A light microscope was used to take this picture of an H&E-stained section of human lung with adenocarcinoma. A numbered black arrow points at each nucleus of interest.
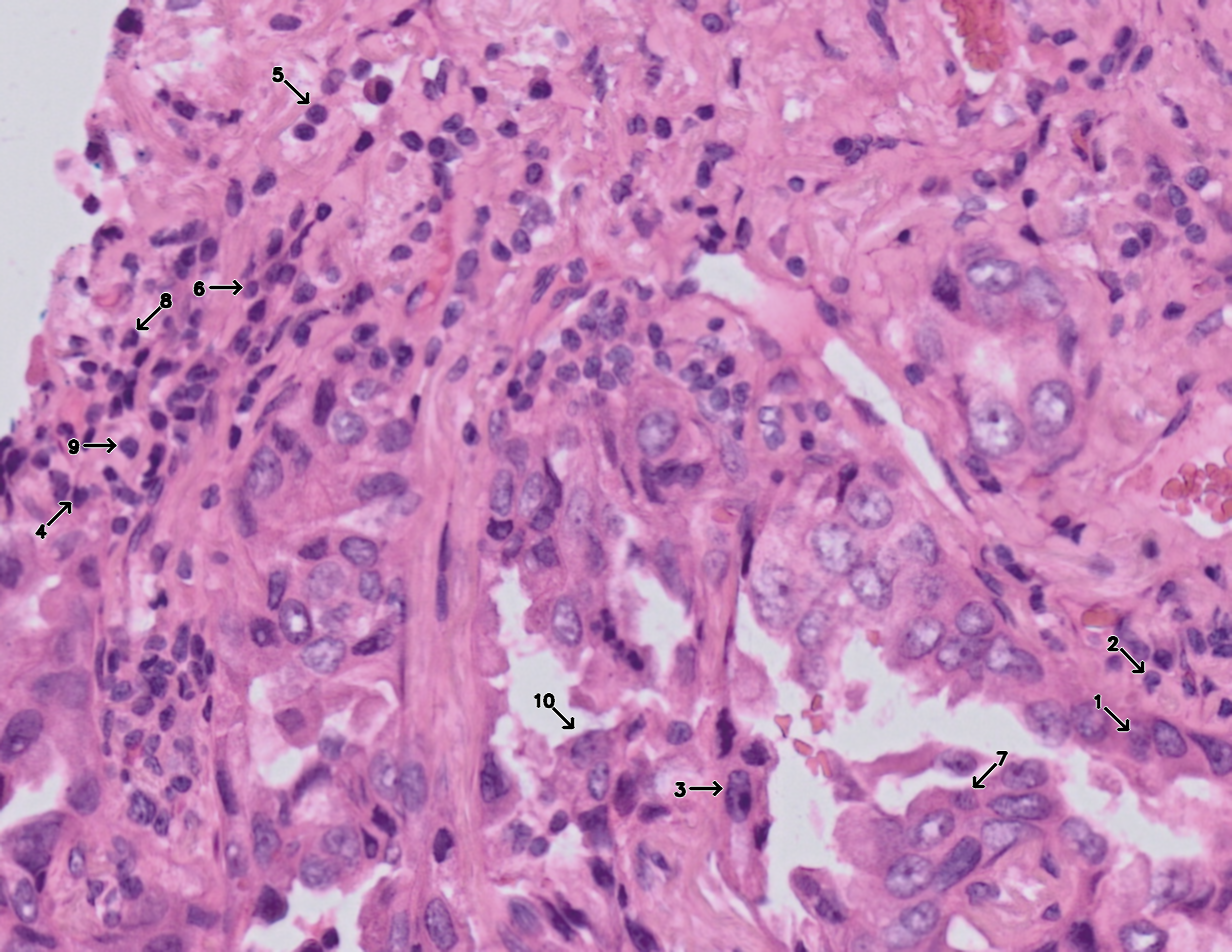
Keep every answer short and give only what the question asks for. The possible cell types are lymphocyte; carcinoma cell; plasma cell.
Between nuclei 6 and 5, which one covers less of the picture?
6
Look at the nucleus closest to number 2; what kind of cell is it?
plasma cell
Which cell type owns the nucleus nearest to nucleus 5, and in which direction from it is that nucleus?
a lymphocyte, below and to the left of nucleus 5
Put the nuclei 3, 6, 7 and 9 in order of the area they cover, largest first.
3, 7, 9, 6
